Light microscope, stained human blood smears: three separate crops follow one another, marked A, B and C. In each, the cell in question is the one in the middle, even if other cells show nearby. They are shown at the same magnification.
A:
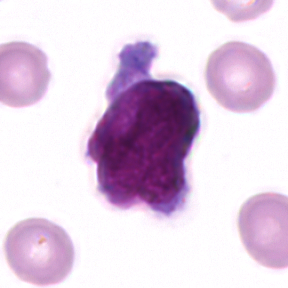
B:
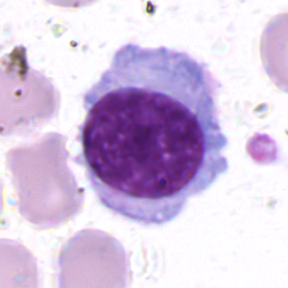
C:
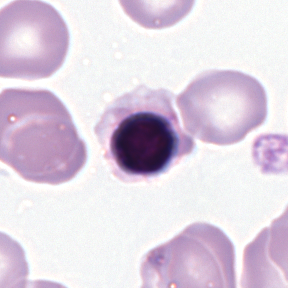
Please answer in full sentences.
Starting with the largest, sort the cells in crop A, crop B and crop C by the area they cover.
From the largest down, the order is B, A, C.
